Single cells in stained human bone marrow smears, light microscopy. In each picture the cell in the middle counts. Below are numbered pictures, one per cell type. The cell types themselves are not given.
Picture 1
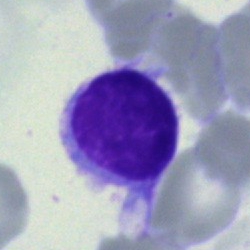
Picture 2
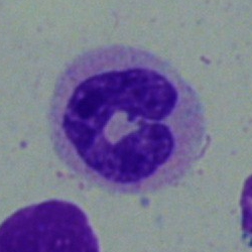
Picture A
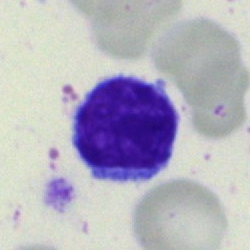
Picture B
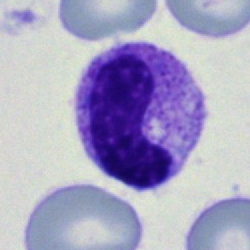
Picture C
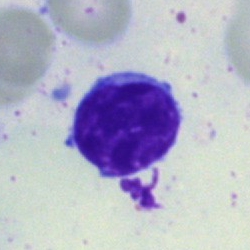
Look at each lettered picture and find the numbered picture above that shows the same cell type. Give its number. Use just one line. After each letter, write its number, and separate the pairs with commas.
A 1, B 2, C 1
